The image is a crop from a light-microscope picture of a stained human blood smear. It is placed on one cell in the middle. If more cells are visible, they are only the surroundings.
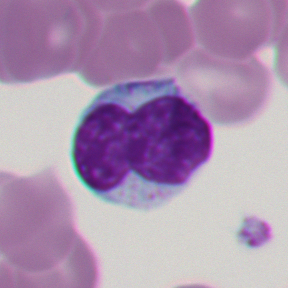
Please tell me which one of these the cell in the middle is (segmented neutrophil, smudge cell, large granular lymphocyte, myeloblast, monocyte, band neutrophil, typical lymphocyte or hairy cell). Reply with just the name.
typical lymphocyte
